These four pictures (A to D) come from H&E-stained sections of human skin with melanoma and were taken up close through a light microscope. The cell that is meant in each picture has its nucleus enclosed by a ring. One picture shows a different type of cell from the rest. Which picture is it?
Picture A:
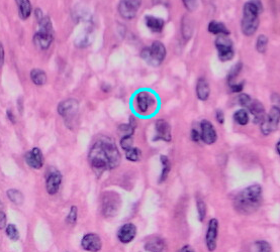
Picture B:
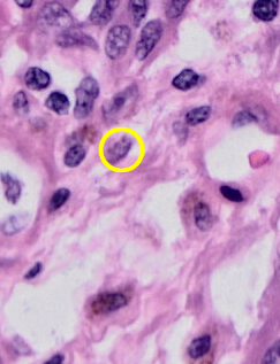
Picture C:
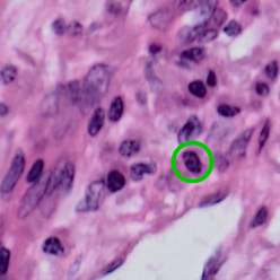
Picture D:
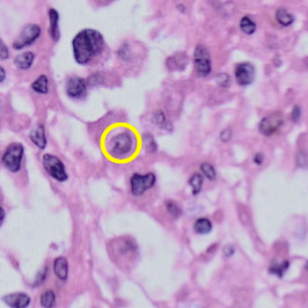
C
